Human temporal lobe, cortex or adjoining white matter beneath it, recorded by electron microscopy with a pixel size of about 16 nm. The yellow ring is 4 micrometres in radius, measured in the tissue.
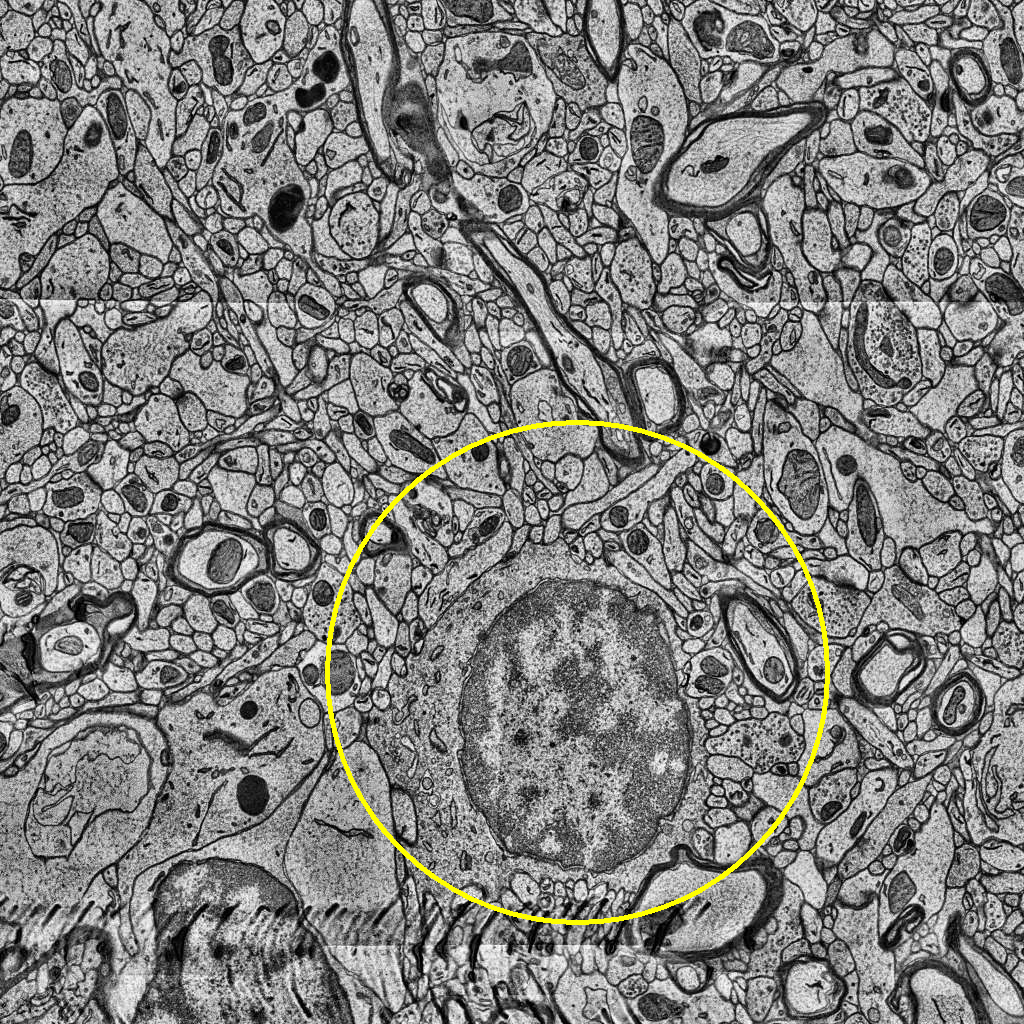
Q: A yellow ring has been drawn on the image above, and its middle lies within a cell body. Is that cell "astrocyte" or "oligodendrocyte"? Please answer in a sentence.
The ring's middle lies in the cell body of an oligodendrocyte.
